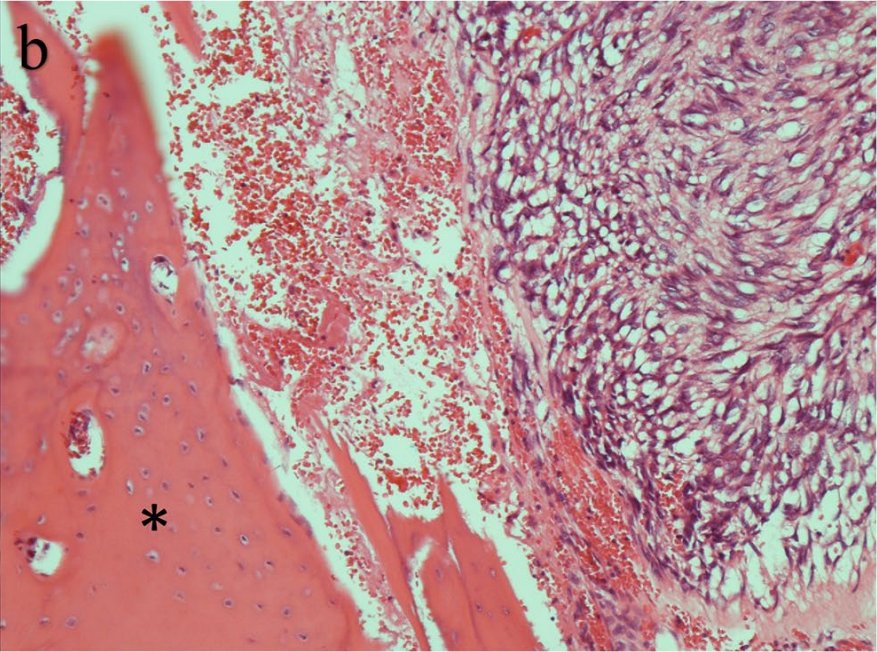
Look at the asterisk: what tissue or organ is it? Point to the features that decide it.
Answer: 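Small cells sit singly in lacunae scattered through the pink matrix. The matrix has a sharp edge and small vascular spaces containing red cells.
Hence: Bone tissue.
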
